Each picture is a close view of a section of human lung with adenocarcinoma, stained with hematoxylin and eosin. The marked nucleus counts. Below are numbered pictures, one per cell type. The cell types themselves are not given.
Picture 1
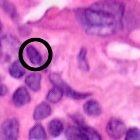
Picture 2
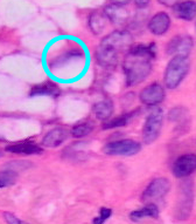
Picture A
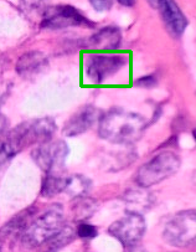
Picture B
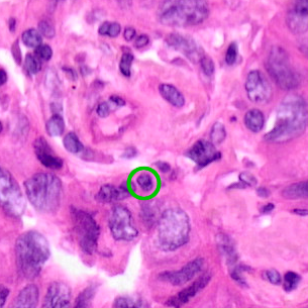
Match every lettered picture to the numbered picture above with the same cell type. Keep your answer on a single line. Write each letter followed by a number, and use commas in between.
A 2, B 1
